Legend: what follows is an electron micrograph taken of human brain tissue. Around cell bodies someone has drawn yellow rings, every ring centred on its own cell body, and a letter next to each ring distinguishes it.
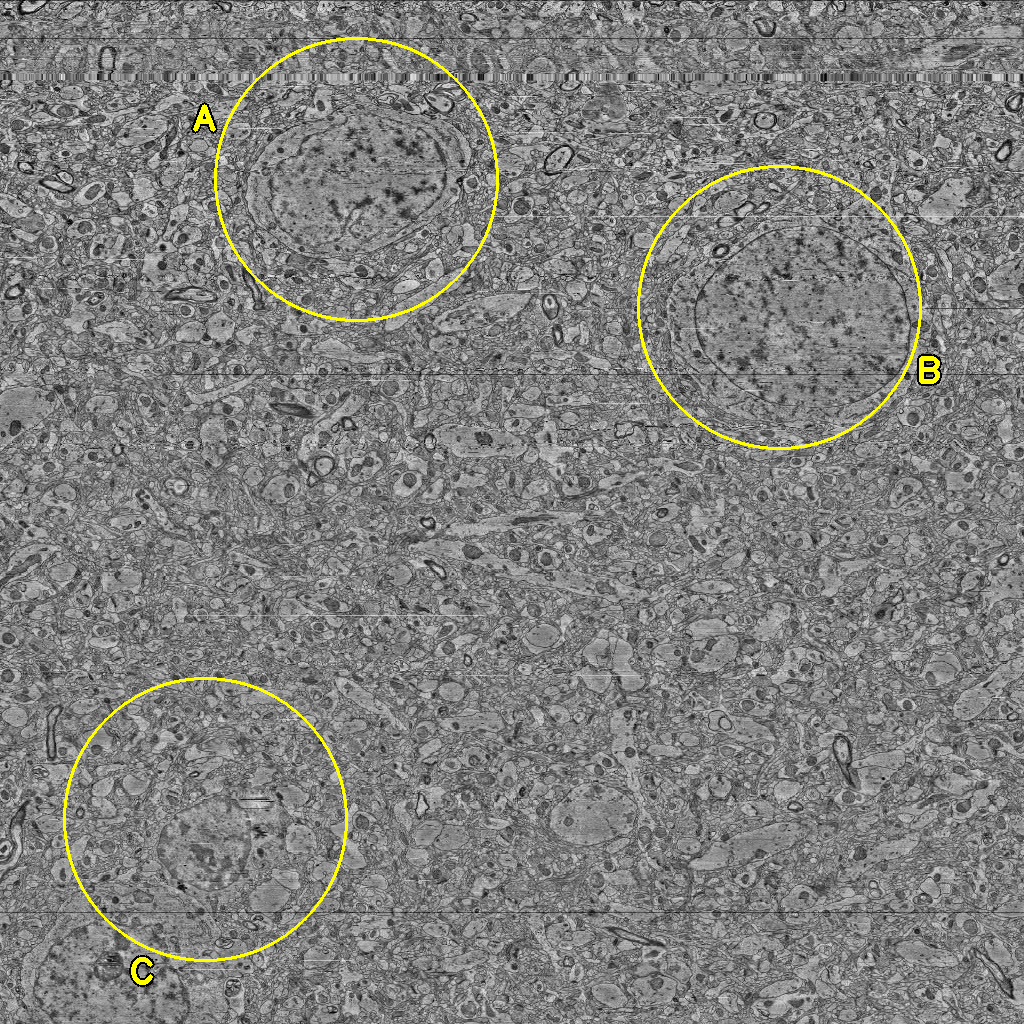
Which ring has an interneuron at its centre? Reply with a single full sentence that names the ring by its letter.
Ring A is the one centred on the cell asked for in the picture.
